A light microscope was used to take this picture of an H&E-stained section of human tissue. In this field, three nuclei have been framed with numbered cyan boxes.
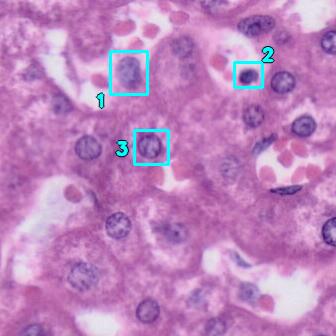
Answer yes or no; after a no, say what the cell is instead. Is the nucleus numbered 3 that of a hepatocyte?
Yes.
